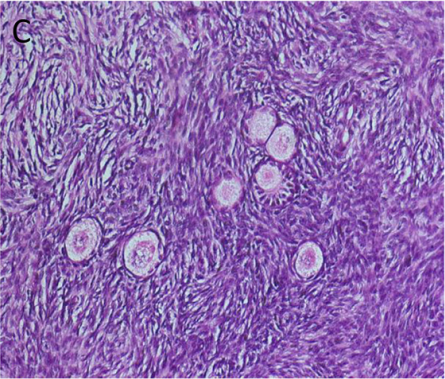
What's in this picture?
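This is ovarian cortex with small viable follicles set in a dense stroma of spindle-shaped cells whose elongated purple nuclei run in swirling streams. Each follicle is a small round structure with a central oocyte of pale pink cytoplasm, ringed by a thin layer of flattened follicle cells. The follicles keep round, intact outlines and sit singly or in small clusters.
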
